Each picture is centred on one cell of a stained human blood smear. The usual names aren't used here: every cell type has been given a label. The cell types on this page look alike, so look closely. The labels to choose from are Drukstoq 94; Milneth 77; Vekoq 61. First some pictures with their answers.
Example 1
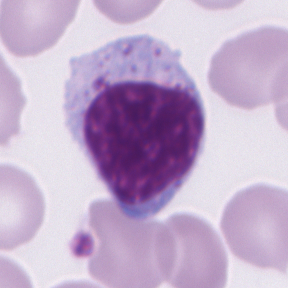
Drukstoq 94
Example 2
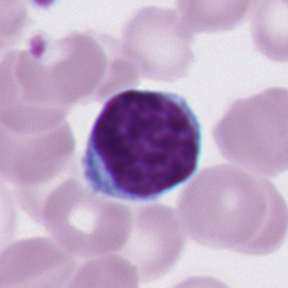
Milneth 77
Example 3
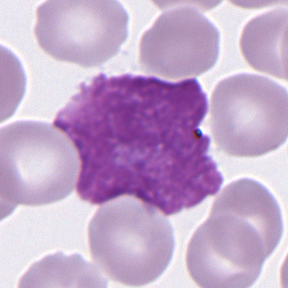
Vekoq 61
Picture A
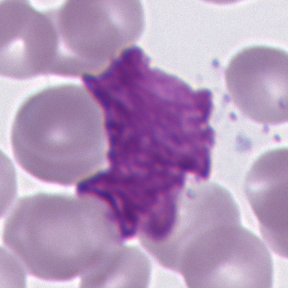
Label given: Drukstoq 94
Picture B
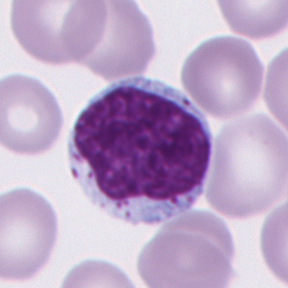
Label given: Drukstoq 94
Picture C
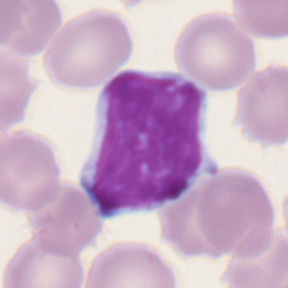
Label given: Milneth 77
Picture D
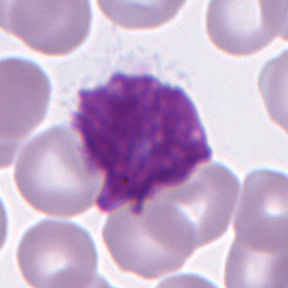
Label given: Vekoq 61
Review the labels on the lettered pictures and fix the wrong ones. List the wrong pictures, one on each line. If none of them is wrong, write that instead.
A: change Drukstoq 94 to Vekoq 61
